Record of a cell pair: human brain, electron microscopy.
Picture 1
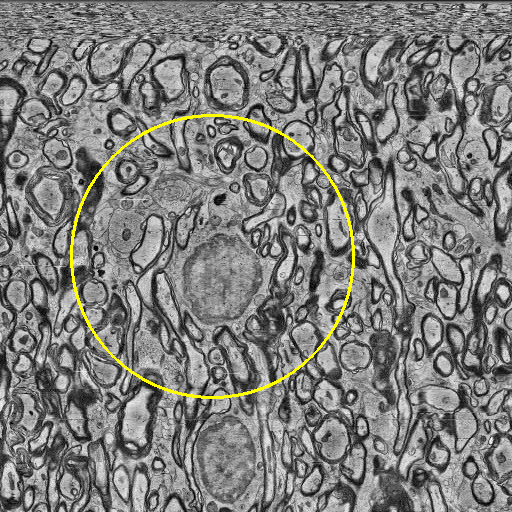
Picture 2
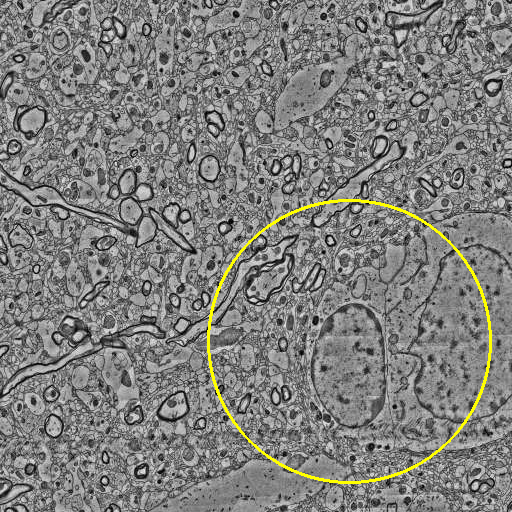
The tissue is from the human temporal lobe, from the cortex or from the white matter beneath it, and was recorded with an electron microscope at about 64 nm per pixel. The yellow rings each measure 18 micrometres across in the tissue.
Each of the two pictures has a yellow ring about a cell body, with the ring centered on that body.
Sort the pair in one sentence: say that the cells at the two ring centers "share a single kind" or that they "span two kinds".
The cells centered in the rings of Pictures 1 and 2 span two kinds.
